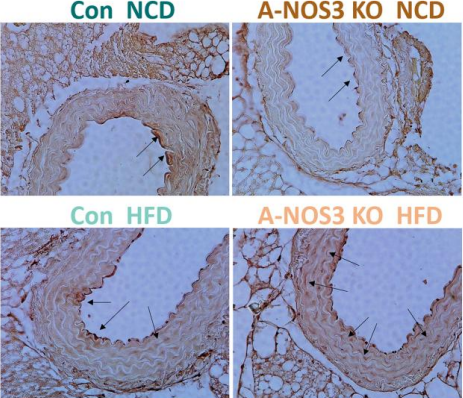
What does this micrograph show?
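These are higher-power views of the vessel wall, which curves around an empty lumen. The wall is built of many closely packed, wavy pale layers with darker brown spots scattered among them, some pointed out by small black arrows. Outside the wall lies loose tissue and fat cells with large empty interiors and thin borders.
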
